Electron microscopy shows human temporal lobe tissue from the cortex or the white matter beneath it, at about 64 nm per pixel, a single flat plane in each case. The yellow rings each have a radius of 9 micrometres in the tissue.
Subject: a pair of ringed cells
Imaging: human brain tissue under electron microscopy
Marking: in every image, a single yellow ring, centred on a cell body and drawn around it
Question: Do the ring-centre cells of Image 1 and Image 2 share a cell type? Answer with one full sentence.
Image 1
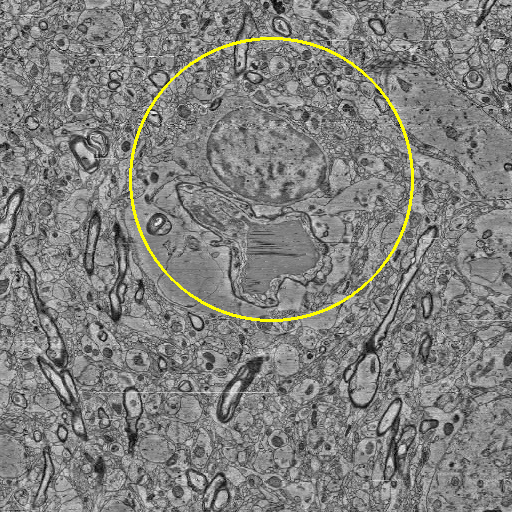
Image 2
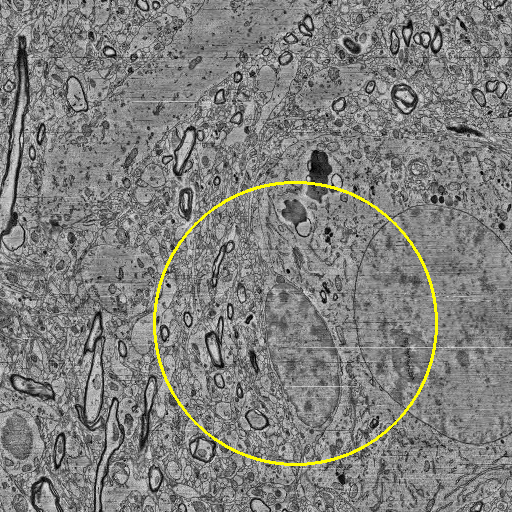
Yes, at each ring's centre in the images sits a cell of one common type.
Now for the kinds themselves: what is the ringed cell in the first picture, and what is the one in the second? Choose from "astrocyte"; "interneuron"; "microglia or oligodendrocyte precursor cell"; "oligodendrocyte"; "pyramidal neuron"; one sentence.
Each of the ringed cells, first and second, is an oligodendrocyte.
